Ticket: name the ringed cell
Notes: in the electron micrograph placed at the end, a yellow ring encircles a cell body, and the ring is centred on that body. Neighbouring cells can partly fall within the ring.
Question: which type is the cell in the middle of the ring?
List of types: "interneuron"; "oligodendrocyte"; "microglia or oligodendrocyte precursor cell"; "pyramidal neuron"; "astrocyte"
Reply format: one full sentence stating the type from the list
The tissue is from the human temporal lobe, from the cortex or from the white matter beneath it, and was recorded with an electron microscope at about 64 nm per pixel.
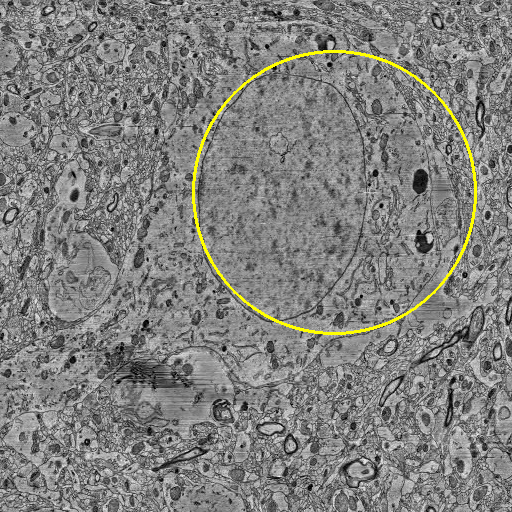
The cell sitting at the centre of the yellow ring is a pyramidal neuron.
